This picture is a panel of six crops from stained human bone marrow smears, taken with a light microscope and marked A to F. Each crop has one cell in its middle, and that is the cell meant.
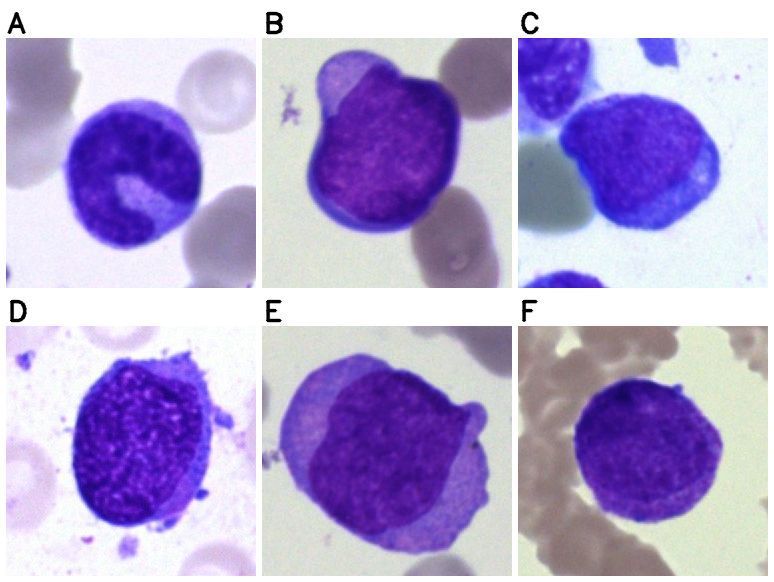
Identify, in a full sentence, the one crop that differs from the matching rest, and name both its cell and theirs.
Crop A is the exception in this set, showing a monocyte while the others show blasts.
